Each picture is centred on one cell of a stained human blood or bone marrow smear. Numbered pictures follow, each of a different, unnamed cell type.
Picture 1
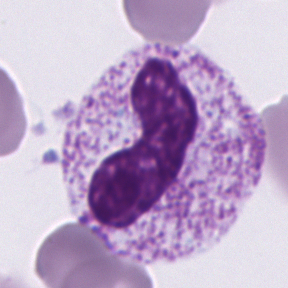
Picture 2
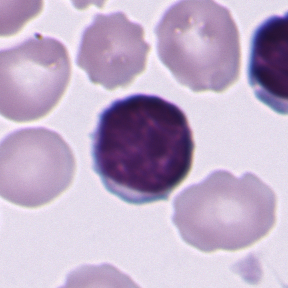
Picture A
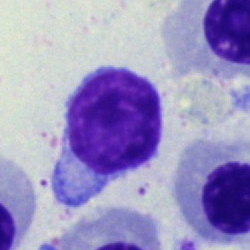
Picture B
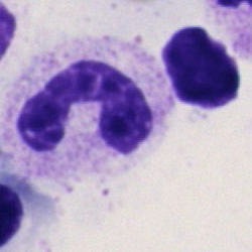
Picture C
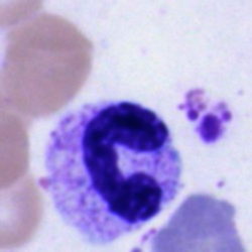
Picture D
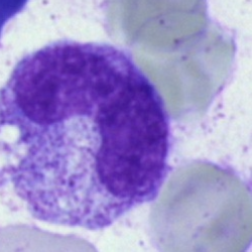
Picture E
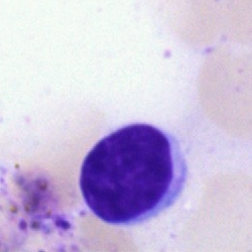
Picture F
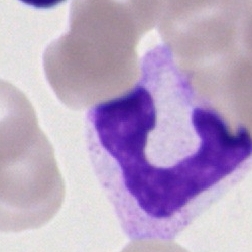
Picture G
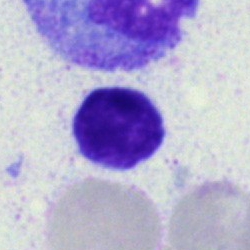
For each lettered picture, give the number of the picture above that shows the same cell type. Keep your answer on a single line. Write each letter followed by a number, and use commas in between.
A 2, B 1, C 1, D 1, E 2, F 1, G 2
